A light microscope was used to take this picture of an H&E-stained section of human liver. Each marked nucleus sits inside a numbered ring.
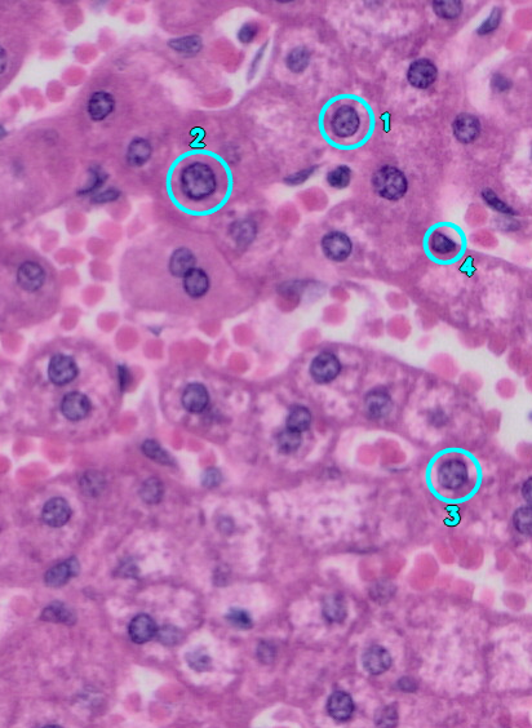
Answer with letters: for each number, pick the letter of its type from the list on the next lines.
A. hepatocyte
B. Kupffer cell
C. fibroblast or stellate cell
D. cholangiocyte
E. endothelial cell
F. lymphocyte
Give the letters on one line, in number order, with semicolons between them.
A; A; A; C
